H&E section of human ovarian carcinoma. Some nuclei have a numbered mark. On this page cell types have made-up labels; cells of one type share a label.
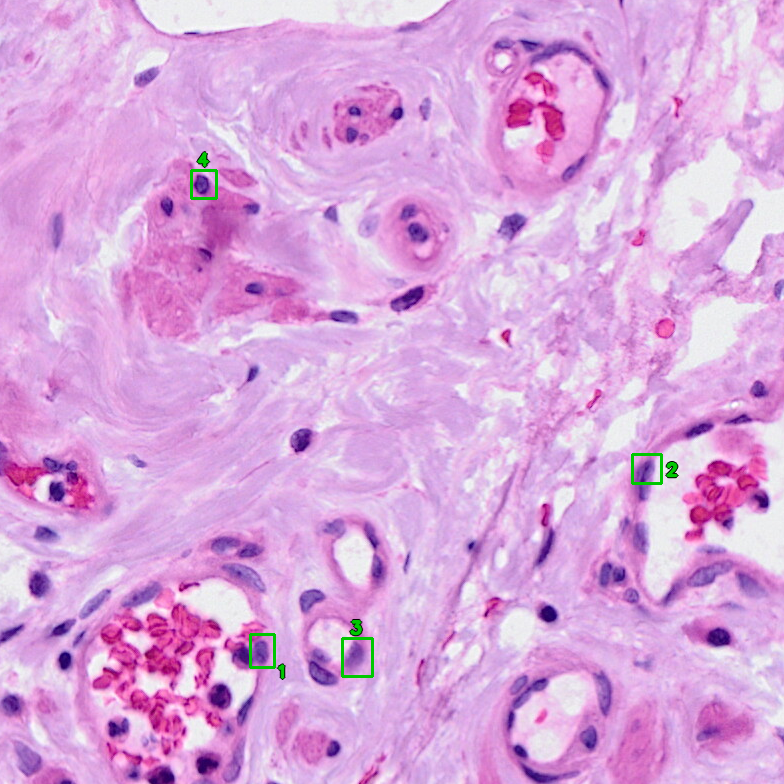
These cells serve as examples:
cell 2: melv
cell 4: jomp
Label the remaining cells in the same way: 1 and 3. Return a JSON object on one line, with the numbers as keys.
{"1": "melv", "3": "melv"}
